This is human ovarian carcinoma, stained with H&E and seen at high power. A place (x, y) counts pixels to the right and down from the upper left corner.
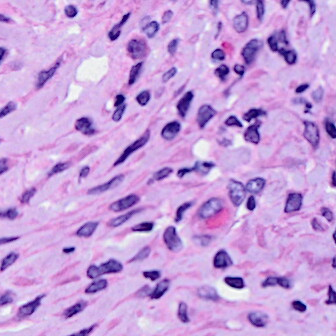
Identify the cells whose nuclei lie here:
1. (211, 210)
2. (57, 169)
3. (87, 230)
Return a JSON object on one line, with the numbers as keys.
{"1": "endothelial cell", "2": "fibroblast", "3": "fibroblast"}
